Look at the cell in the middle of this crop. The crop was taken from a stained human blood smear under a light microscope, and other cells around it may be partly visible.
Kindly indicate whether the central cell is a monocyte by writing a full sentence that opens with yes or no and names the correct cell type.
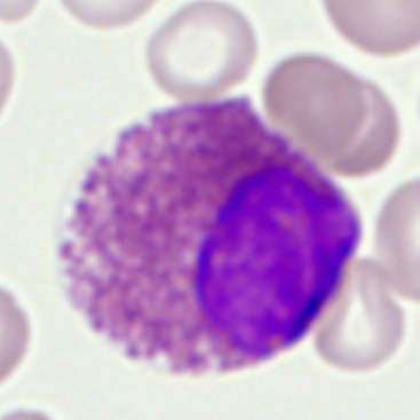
No, the central cell does not count as a monocyte; it is an eosinophil.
